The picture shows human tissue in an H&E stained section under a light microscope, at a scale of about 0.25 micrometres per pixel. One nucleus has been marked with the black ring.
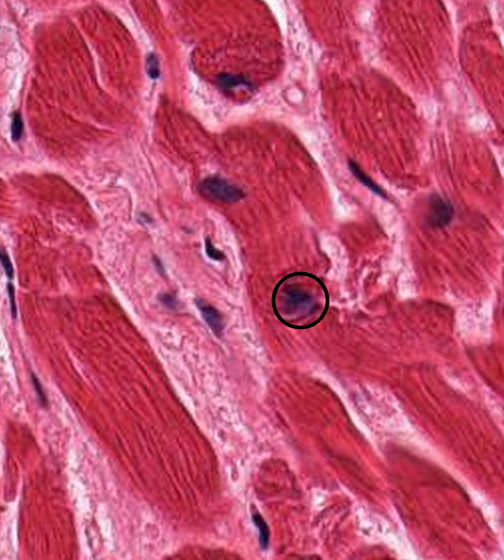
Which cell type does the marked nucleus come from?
cardiomyocyte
